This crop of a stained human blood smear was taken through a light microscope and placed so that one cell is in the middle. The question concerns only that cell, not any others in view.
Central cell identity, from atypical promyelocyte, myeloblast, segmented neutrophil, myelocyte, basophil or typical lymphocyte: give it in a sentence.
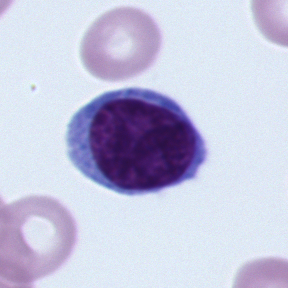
Present in the middle of the crop is a typical lymphocyte.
